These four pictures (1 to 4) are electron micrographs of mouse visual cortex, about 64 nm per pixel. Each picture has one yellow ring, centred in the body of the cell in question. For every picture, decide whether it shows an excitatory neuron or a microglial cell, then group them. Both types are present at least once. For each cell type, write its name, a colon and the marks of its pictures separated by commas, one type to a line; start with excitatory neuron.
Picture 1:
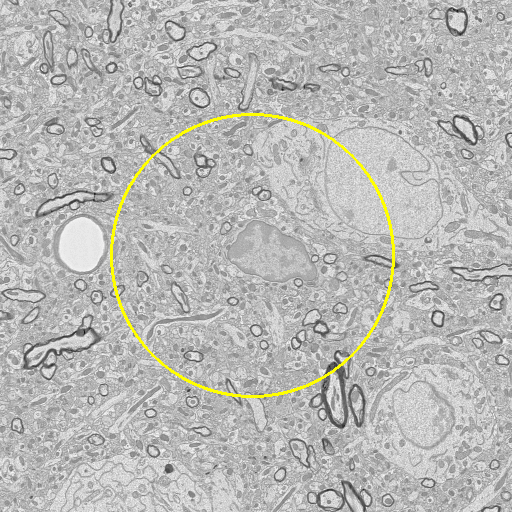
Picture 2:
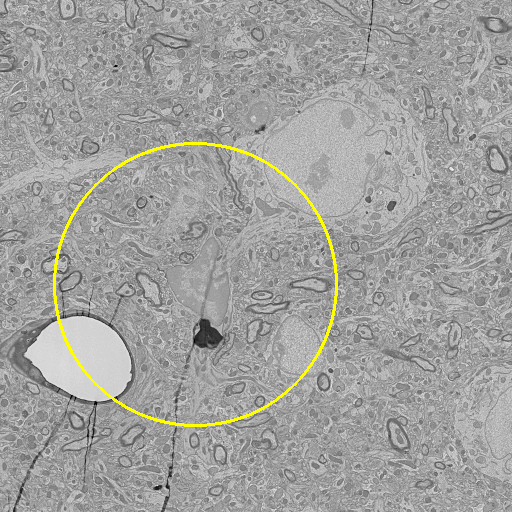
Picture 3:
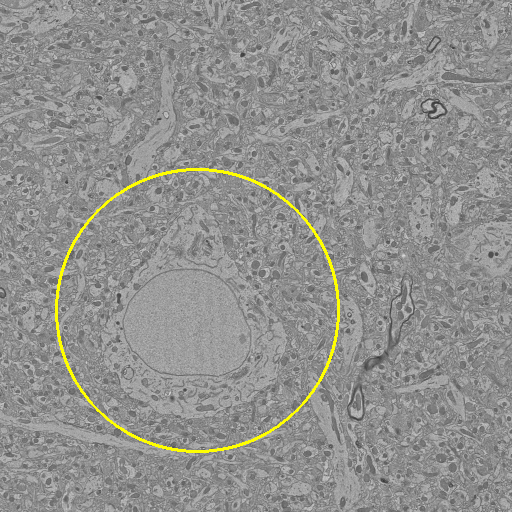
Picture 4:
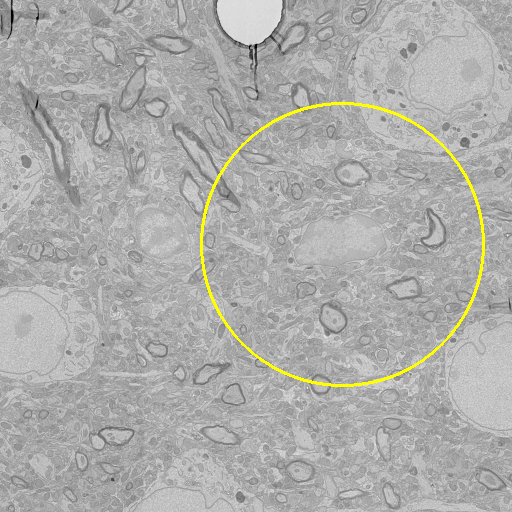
excitatory neuron: 3
microglial cell: 1, 2, 4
